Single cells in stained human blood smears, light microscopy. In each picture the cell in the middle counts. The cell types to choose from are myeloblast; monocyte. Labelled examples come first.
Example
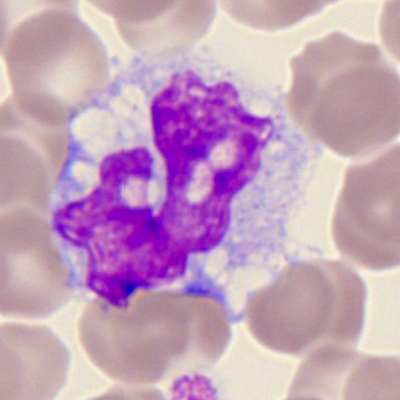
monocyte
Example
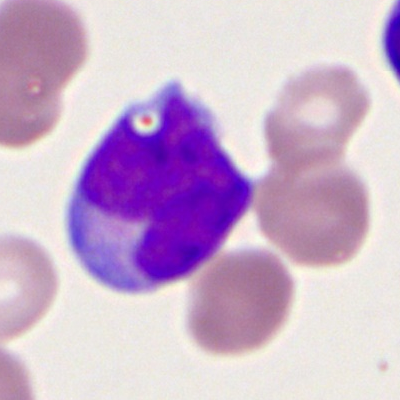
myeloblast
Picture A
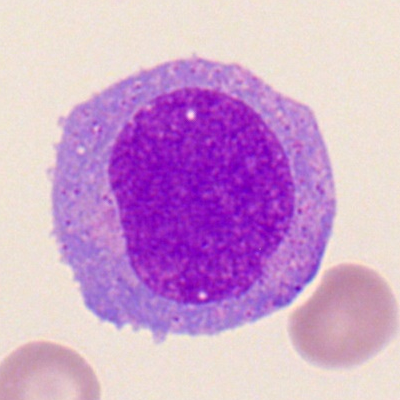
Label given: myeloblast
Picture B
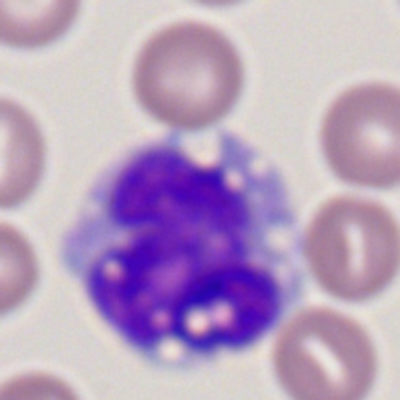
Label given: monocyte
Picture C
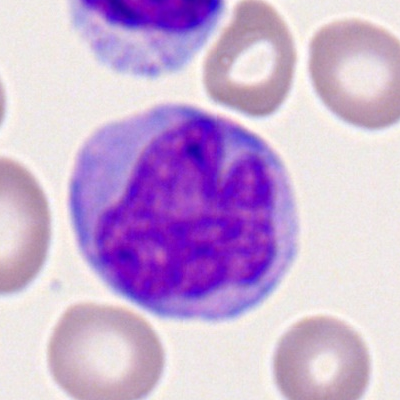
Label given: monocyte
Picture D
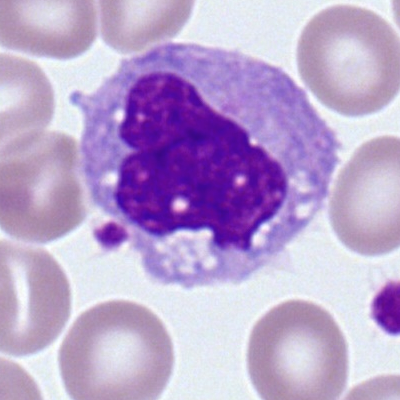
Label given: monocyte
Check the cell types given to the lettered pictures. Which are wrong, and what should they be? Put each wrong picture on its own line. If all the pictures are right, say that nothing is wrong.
Every label is right.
